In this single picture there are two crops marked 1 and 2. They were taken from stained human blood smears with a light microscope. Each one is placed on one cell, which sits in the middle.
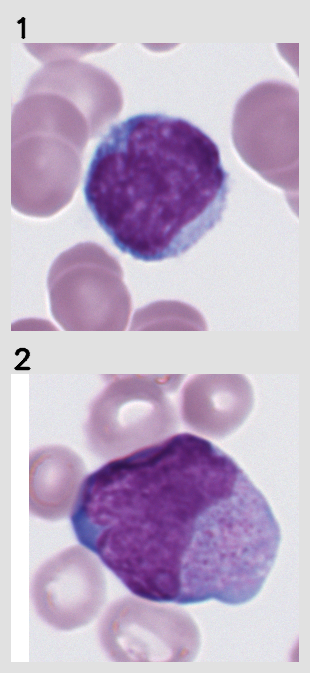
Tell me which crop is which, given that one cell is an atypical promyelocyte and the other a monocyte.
1: monocyte
2: atypical promyelocyte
